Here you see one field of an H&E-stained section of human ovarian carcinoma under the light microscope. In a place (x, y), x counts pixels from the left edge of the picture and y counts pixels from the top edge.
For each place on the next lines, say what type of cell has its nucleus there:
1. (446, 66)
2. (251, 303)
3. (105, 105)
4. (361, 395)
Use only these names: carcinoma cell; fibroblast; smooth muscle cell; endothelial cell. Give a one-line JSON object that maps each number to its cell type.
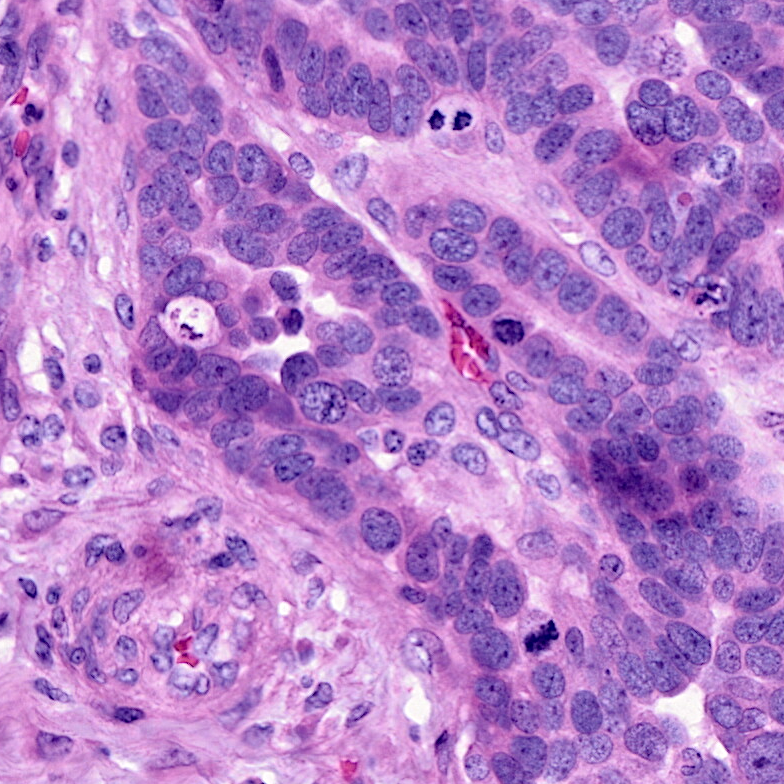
{"1": "carcinoma cell", "2": "carcinoma cell", "3": "fibroblast", "4": "carcinoma cell"}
